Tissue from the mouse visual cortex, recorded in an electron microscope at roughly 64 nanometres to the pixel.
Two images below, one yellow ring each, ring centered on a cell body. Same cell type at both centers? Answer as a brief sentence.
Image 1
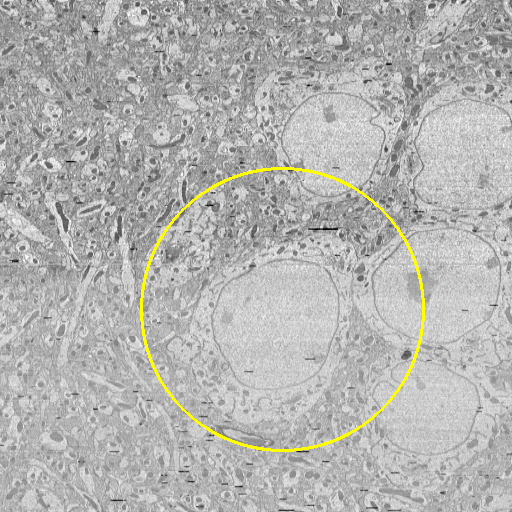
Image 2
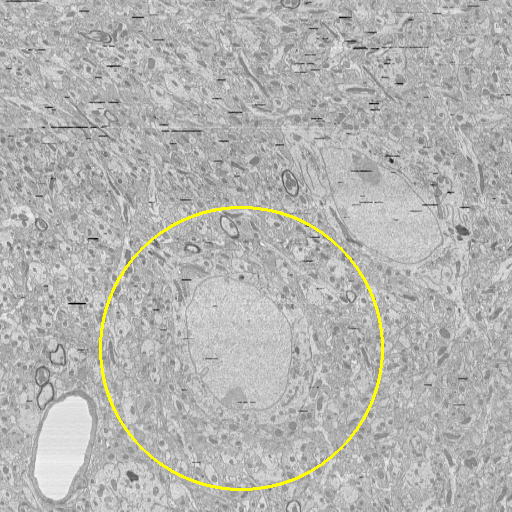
Yes, both cells are of the same type.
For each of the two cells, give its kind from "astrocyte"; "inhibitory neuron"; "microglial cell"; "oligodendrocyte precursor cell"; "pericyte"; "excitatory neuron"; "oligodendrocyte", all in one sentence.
Each of the ringed cells, first and second, is an excitatory neuron.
